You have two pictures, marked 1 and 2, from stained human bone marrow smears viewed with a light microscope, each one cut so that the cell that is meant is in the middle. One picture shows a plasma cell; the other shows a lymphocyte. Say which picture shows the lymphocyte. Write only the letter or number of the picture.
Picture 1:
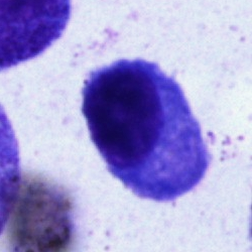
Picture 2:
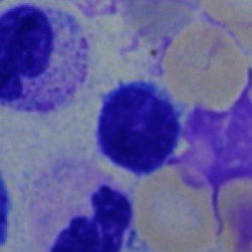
2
